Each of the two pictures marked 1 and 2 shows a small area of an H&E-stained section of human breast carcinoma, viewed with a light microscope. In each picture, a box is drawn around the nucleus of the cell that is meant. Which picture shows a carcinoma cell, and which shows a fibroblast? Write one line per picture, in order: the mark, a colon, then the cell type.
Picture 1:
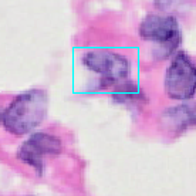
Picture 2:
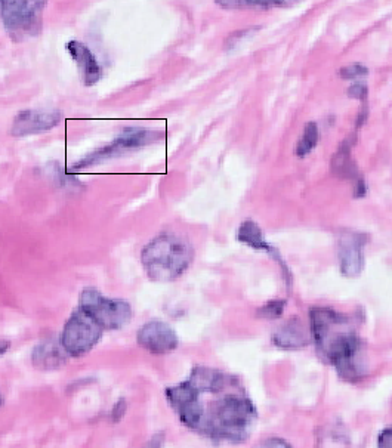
1: carcinoma cell
2: fibroblast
